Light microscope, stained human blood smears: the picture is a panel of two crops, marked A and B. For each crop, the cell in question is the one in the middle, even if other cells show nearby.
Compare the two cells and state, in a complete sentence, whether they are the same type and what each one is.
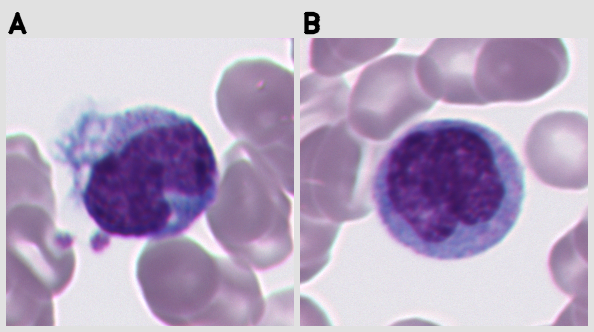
Yes, put down monocytes for both crops.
